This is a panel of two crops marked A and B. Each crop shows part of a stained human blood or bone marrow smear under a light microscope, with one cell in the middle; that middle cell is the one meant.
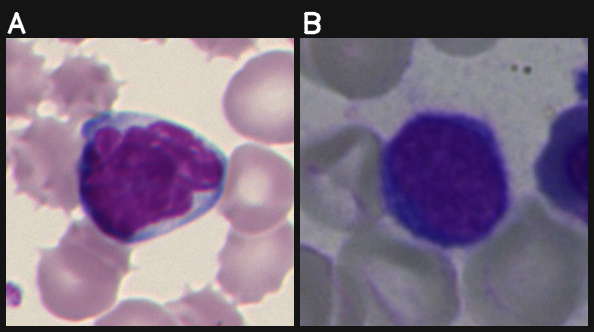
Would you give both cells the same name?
yes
